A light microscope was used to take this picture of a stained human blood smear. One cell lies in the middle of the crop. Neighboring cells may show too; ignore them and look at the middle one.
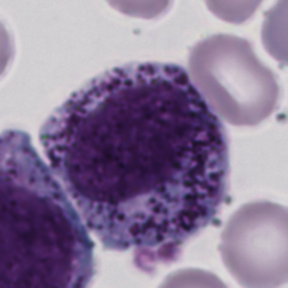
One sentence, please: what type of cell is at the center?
The cell shown in the center of this light-microscope crop is a myelocyte.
